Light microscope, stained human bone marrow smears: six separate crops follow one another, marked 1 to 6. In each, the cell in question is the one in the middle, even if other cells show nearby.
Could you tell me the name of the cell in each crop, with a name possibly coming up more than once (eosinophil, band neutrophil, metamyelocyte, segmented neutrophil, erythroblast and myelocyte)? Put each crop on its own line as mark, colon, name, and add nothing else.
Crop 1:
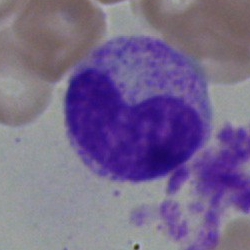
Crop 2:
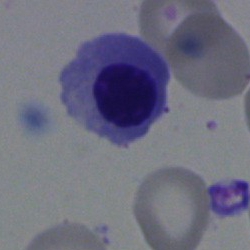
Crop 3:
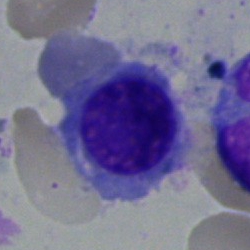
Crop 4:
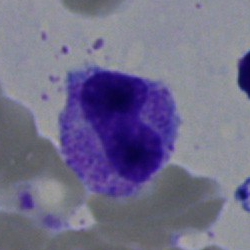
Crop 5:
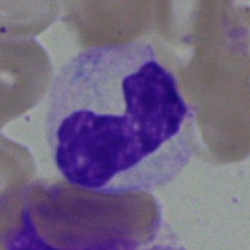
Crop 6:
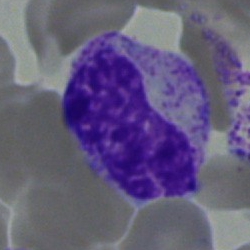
1: metamyelocyte
2: erythroblast
3: erythroblast
4: band neutrophil
5: band neutrophil
6: metamyelocyte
